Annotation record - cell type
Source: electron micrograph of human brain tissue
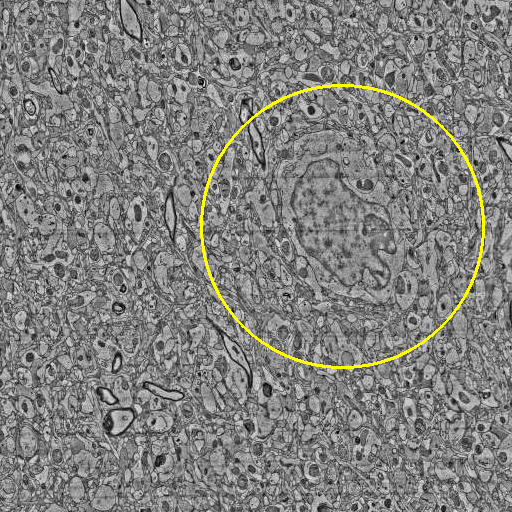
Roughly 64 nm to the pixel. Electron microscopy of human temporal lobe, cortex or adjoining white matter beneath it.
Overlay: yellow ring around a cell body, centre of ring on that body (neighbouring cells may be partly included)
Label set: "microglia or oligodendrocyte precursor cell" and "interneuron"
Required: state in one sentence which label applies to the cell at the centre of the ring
This cell should be labelled as an interneuron.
